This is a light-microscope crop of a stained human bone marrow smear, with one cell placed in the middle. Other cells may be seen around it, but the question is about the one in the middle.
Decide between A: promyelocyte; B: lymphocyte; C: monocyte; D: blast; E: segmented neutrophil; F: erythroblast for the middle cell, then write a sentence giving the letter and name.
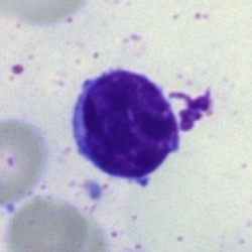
Here the right option is B, as the cell in the middle is a lymphocyte.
